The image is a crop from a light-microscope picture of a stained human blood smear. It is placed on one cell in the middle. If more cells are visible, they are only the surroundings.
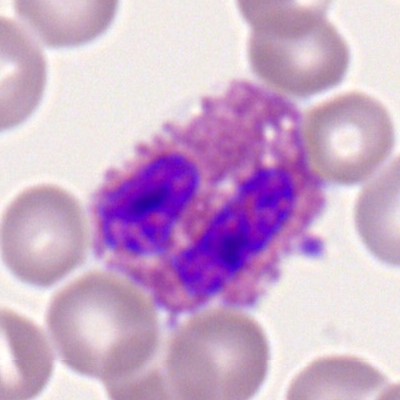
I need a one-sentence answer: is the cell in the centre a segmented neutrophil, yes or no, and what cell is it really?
No, the cell at the centre is categorised not as a segmented neutrophil but as an eosinophil.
